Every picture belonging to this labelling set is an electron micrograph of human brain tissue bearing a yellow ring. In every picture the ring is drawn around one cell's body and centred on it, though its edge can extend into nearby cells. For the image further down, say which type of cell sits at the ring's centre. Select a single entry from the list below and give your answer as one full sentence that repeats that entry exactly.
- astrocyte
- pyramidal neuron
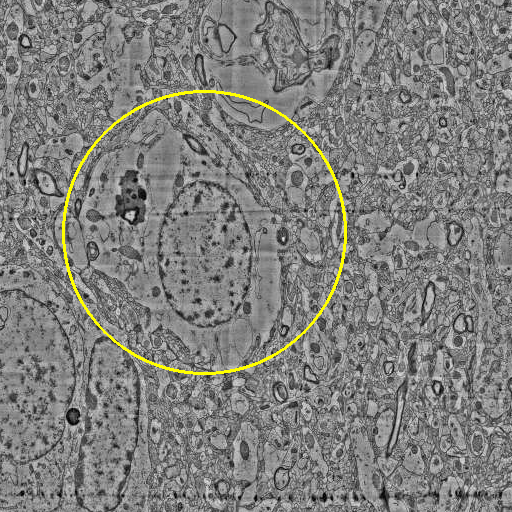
In the picture, an astrocyte is the cell at the centre of the yellow ring.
